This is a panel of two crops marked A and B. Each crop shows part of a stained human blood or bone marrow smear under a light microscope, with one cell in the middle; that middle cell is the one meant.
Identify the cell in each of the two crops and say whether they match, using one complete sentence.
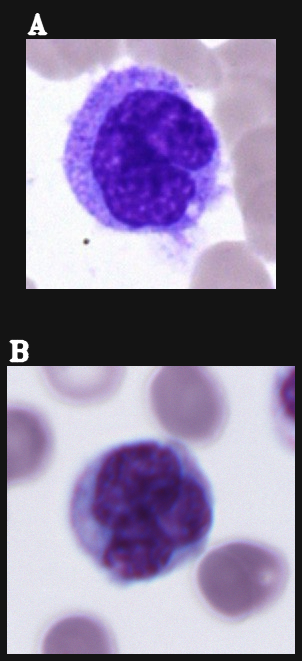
Yes, the central cells of both crops are monocytes.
